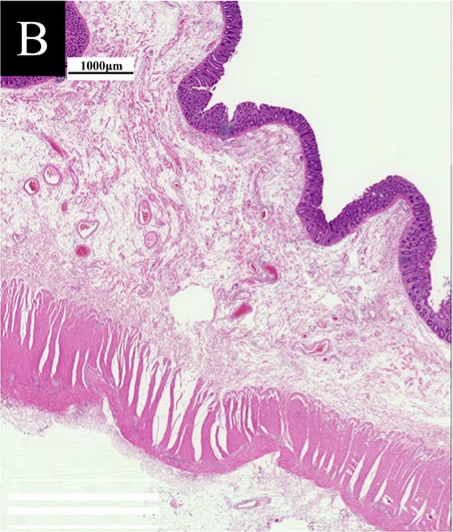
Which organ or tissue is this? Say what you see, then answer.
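A folded purple columnar epithelial lining runs along the top right. A broad loose pale pink layer with small vessels lies beneath it. A dense pink layer of muscle fibres runs across the lower part.
Intestinal wall.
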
